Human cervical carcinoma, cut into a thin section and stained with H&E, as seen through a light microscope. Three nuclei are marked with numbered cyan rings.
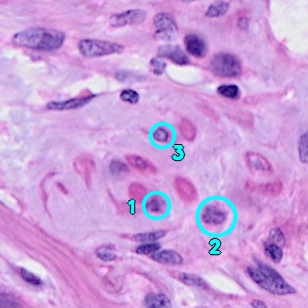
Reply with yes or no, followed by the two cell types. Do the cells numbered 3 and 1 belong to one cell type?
Yes, cells 3 and 1 are both smooth muscle cells and thus of one type.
